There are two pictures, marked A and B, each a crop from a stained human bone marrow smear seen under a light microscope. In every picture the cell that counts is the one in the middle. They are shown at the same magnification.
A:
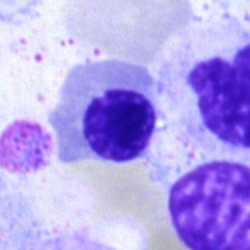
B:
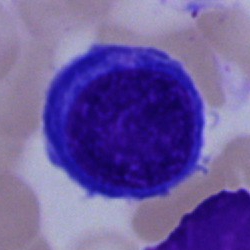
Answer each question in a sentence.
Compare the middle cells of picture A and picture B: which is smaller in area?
Picture A holds the smaller cell, since the cell in picture B covers about 2.5 times as much area.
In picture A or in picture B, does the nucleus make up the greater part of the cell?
In picture B the nucleus takes up the larger part of its cell.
